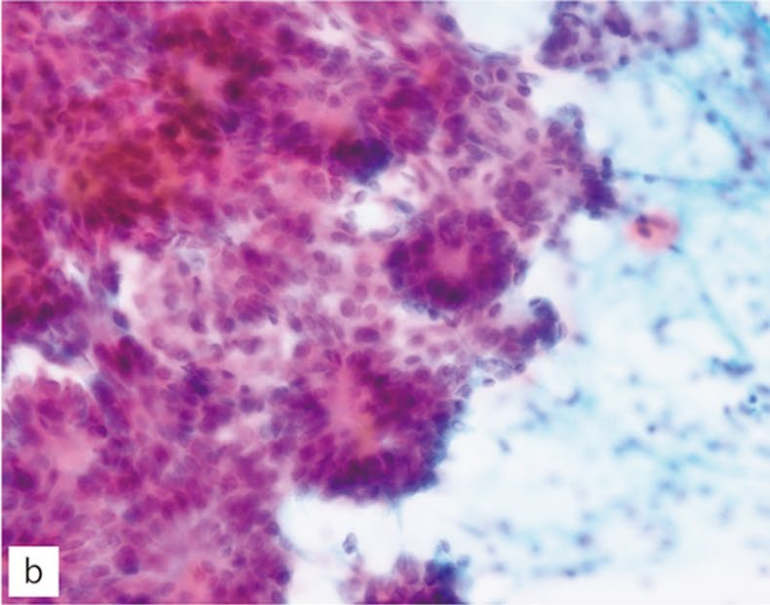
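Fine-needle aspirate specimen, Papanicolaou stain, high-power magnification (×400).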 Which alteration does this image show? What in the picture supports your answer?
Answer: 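Relatively monotonous nuclei. The nuclei are round to oval and of similar size. The nuclei have similar purple staining with little variation in shape.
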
